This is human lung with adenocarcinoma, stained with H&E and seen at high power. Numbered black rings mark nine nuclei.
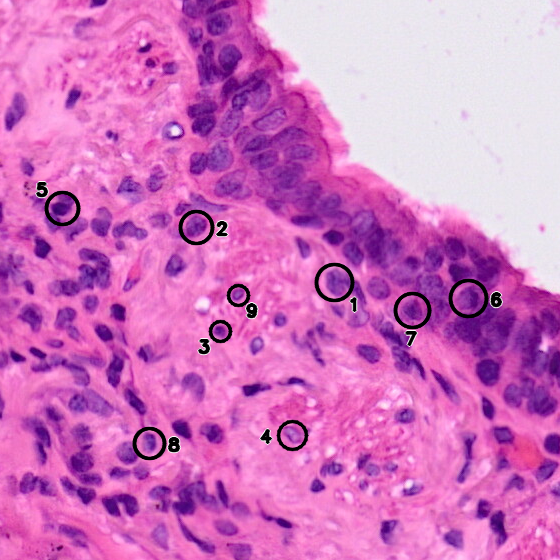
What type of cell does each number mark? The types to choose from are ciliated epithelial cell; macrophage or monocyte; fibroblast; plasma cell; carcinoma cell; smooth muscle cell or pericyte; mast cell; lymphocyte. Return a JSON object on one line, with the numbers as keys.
{"1": "lymphocyte", "2": "mast cell", "3": "smooth muscle cell or pericyte", "4": "smooth muscle cell or pericyte", "5": "lymphocyte", "6": "ciliated epithelial cell", "7": "ciliated epithelial cell", "8": "lymphocyte", "9": "smooth muscle cell or pericyte"}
